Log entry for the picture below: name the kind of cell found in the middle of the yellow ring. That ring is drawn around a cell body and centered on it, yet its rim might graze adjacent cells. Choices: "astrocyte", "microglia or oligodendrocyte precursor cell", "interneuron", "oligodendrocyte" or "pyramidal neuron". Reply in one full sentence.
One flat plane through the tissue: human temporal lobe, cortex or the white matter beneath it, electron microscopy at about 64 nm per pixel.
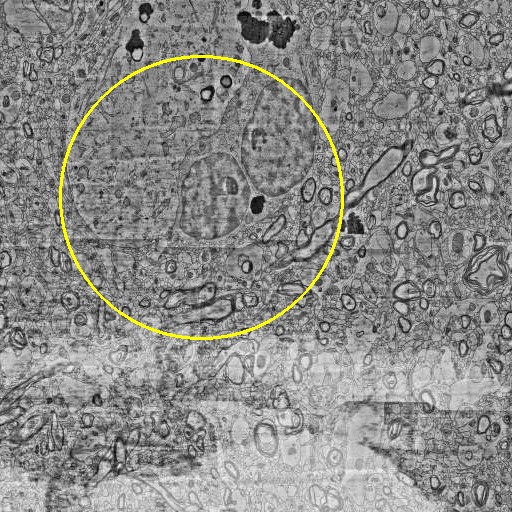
The cell in the middle of the yellow ring in this picture is an oligodendrocyte.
